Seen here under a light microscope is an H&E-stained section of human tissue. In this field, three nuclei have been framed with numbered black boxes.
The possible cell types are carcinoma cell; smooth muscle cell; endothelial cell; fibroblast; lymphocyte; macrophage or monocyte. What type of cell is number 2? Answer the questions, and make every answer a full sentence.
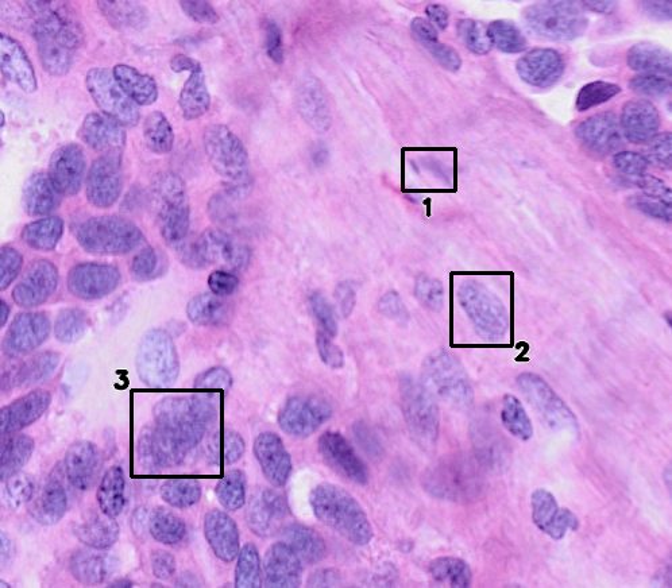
Regarding cell 2, this one is a fibroblast.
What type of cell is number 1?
Denoted by the label 1 in the section is a fibroblast.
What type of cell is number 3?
In this section, the cell tagged 3 is a carcinoma cell.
